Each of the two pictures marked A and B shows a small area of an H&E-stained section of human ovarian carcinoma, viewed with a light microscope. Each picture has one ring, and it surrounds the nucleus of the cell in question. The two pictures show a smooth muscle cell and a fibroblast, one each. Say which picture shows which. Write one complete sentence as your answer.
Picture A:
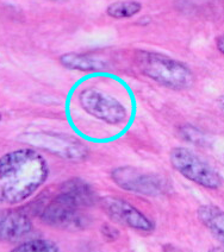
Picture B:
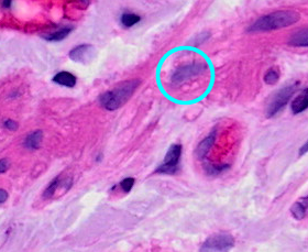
Picture B shows a smooth muscle cell, while picture A shows a fibroblast.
